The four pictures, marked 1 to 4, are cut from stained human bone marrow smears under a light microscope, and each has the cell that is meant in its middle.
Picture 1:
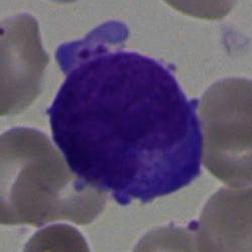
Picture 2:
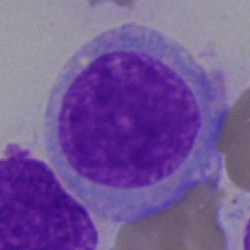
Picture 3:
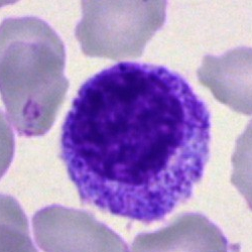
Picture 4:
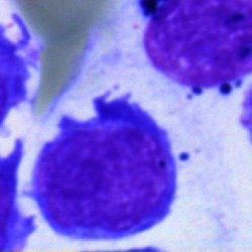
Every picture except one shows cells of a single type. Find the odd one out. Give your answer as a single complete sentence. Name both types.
The others show blasts, but picture 3 shows a myelocyte.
